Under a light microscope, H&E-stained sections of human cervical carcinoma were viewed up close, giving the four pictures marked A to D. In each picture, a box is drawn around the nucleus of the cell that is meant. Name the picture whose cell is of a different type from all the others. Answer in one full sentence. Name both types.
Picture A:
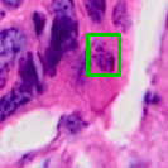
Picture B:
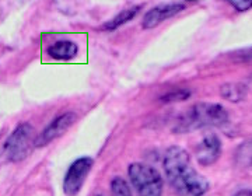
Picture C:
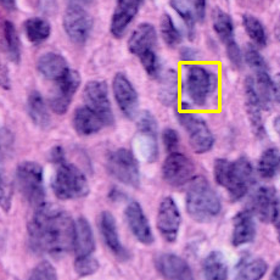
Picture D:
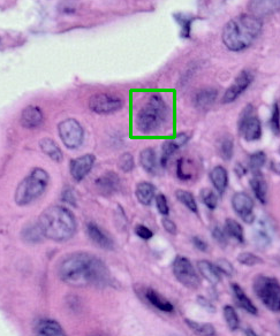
The different one is picture B; it shows a lymphocyte, whereas all the others show squamous carcinoma cells.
